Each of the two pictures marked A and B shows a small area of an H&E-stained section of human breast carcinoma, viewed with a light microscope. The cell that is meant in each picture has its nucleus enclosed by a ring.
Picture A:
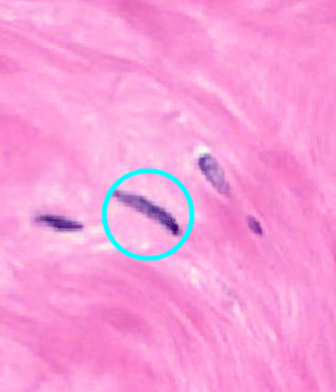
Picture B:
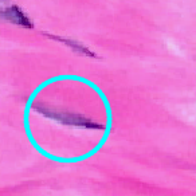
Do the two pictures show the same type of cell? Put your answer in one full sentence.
Yes, both are fibroblasts.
